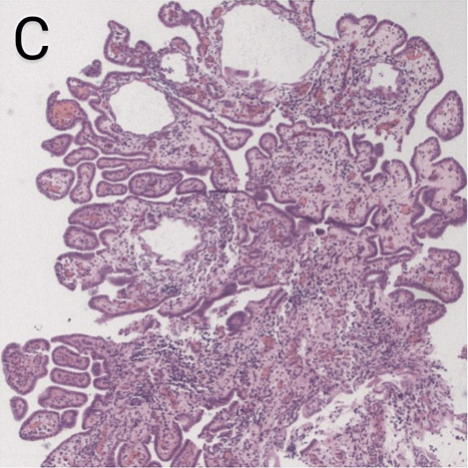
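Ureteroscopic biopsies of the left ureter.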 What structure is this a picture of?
Adenoid tubulocystic structures.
